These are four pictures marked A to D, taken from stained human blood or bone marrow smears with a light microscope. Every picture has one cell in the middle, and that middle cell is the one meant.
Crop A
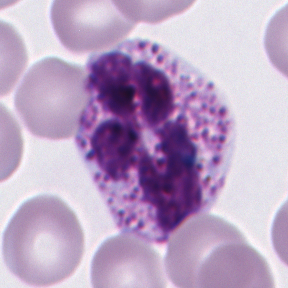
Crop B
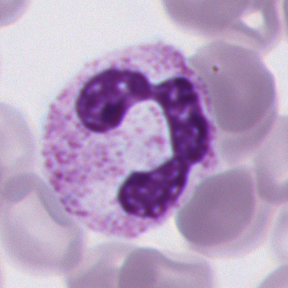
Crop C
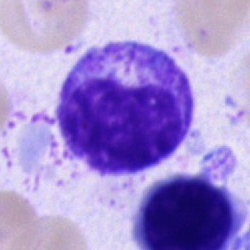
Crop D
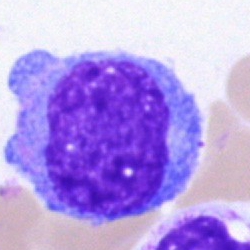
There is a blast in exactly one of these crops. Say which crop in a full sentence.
It is in crop D that a blast is shown.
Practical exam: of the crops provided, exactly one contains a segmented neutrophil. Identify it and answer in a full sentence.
Of the labeled crops, the one with a segmented neutrophil is crop B.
